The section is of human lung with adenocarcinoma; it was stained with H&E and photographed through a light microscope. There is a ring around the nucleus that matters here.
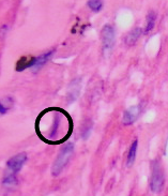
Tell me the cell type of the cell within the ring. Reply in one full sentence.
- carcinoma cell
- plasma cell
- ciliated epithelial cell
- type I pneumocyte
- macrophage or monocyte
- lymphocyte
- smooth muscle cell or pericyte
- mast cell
Microscopically, the cell within the ring is categorized as a smooth muscle cell or pericyte.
